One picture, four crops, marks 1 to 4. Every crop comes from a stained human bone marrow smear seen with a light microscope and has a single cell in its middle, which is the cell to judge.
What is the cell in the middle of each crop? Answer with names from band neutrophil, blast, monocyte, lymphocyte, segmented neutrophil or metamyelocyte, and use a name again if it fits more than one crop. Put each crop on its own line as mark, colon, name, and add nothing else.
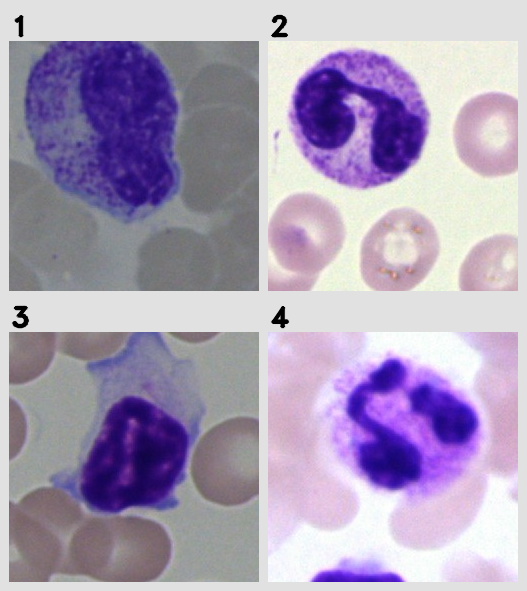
1: metamyelocyte
2: segmented neutrophil
3: lymphocyte
4: segmented neutrophil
